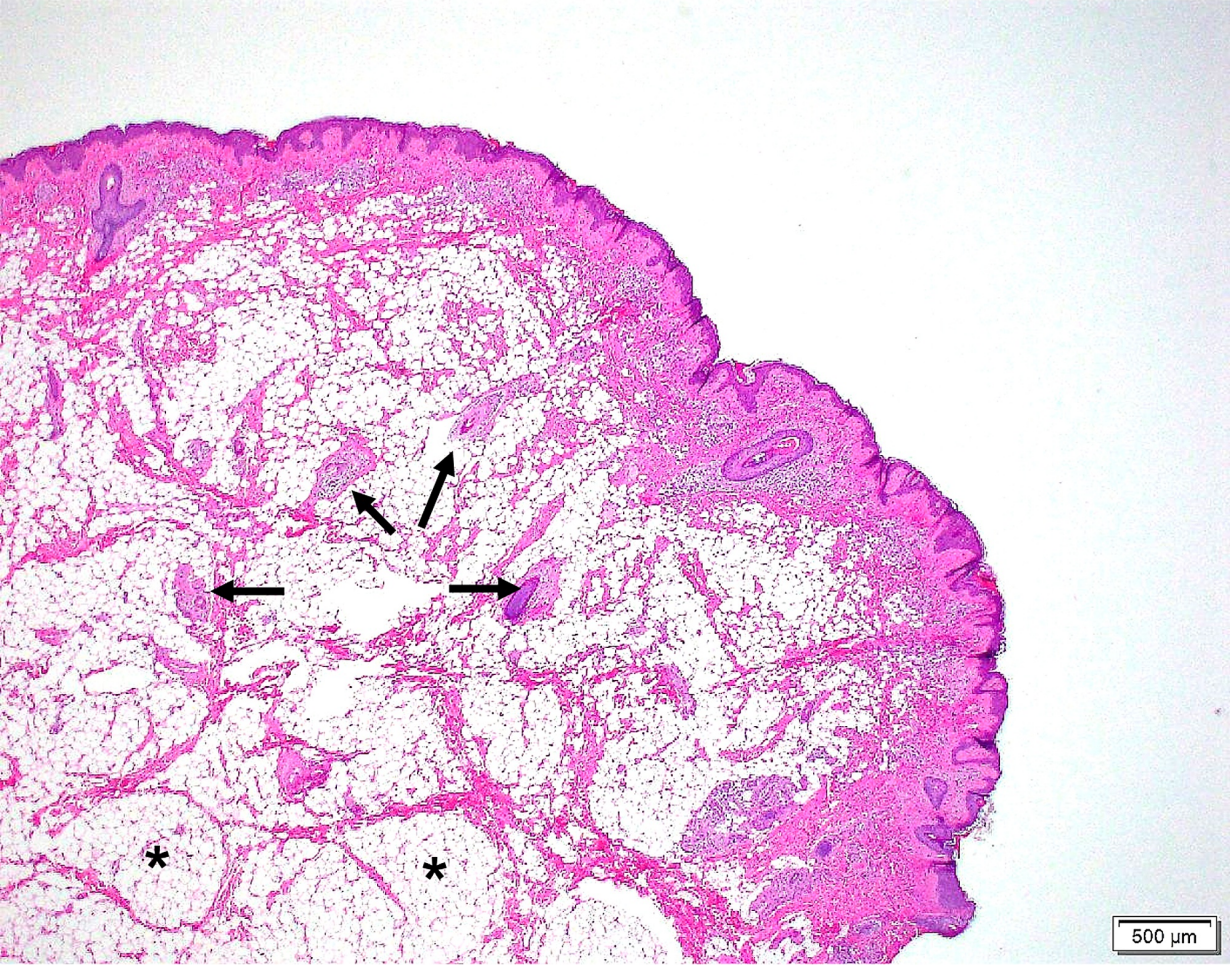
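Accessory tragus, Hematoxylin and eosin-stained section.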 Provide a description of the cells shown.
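This is a low-power view of a skin-covered nodule with a fatty core. Along the outer edge runs a purple stratified squamous epidermis with an undulating lower border, and beneath it lies a band of pink dermis. The centre of the specimen is made of lobules of fat cells. Thin pink strands of fibrous tissue divide the fat into these lobules.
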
